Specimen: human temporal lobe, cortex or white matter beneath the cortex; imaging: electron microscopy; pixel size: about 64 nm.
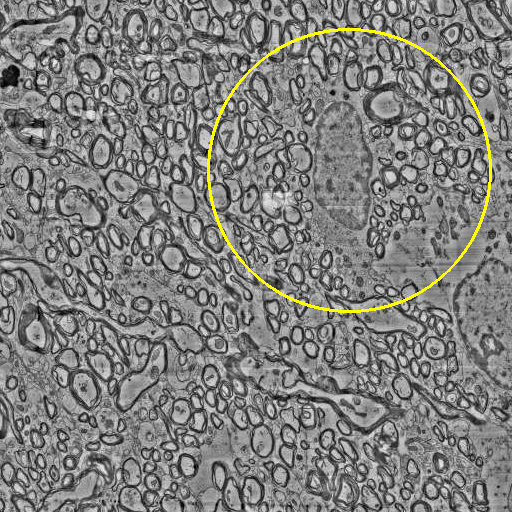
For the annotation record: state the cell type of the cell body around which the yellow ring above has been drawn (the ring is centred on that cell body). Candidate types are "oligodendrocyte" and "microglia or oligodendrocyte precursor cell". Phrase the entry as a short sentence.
The ringed cell is an oligodendrocyte.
